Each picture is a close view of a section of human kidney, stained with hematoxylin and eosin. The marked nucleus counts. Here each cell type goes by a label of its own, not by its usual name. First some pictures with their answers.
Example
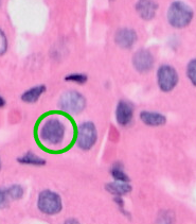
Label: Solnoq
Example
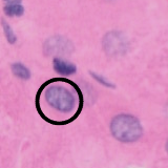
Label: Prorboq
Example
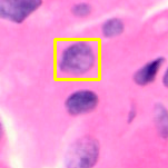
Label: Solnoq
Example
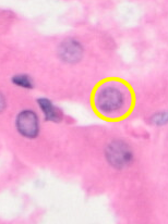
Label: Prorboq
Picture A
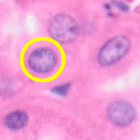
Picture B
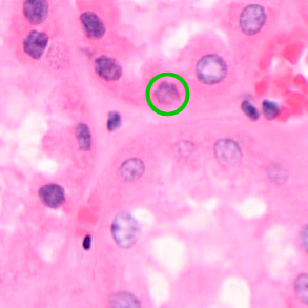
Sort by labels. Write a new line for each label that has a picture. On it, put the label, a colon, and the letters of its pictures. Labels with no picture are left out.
Prorboq: A, B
